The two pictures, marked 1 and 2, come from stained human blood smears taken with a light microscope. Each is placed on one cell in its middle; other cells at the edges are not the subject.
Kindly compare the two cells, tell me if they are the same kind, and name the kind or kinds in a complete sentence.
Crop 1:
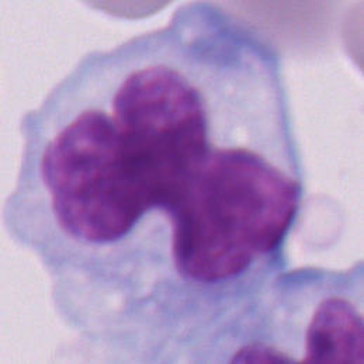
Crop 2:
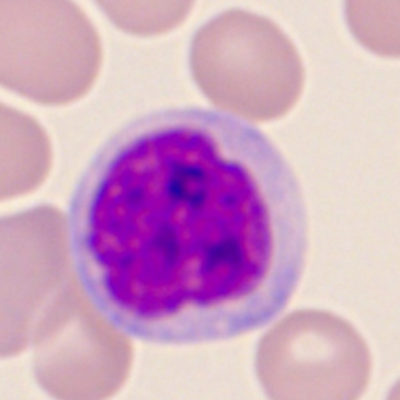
Yes, the centre of both crops is taken up by monocytes.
